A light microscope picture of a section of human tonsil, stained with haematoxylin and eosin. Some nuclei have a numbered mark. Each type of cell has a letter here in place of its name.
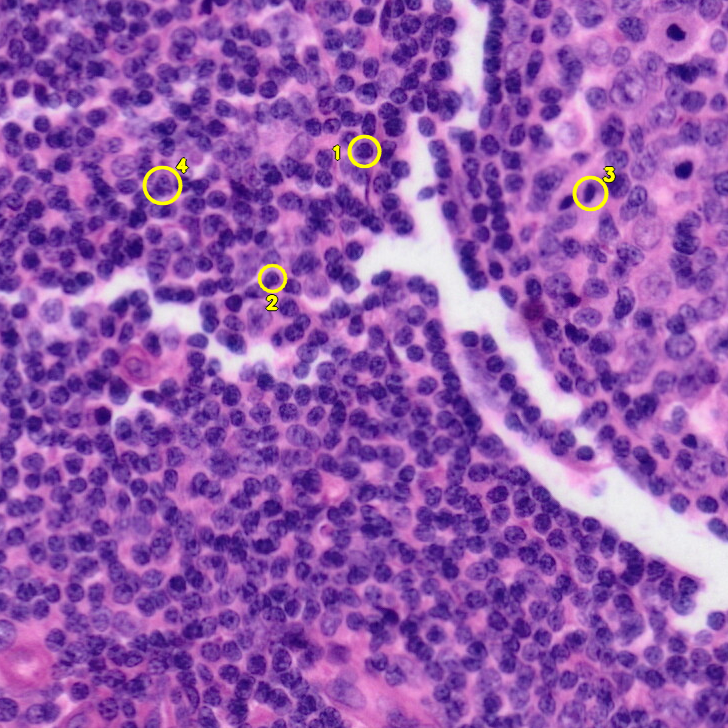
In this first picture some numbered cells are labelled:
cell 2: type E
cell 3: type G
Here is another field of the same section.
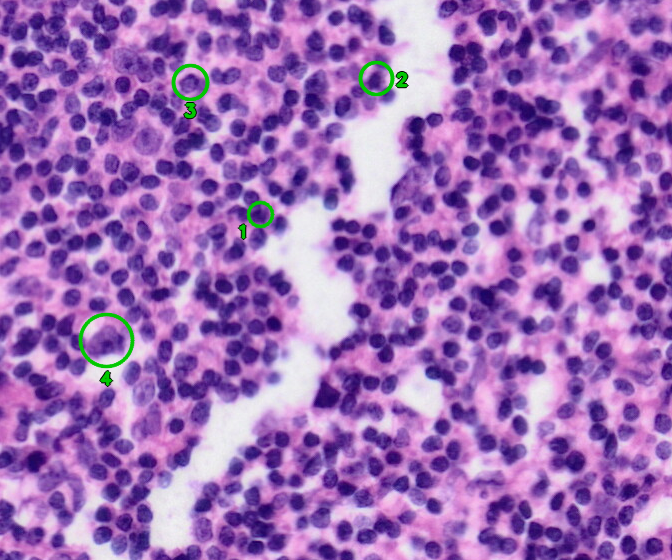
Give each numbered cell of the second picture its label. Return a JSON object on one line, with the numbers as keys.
{"1": "type E", "2": "type E", "3": "type E", "4": "type G"}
